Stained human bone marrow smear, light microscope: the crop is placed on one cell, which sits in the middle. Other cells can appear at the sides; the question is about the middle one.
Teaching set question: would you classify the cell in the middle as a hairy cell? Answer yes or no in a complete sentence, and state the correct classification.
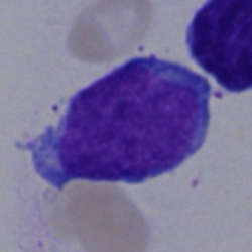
No, the central cell isn't a hairy cell, but a blast.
